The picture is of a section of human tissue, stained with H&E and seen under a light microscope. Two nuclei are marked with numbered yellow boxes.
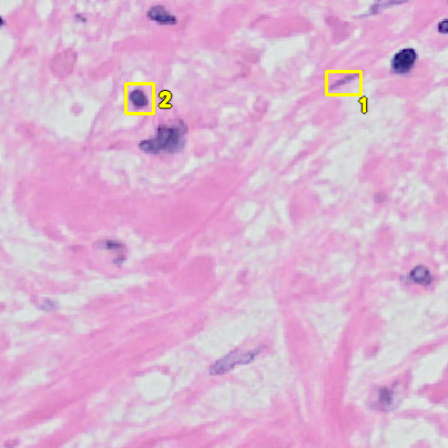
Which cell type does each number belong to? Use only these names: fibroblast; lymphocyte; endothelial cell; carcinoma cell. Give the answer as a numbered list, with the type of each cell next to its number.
1. fibroblast
2. lymphocyte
